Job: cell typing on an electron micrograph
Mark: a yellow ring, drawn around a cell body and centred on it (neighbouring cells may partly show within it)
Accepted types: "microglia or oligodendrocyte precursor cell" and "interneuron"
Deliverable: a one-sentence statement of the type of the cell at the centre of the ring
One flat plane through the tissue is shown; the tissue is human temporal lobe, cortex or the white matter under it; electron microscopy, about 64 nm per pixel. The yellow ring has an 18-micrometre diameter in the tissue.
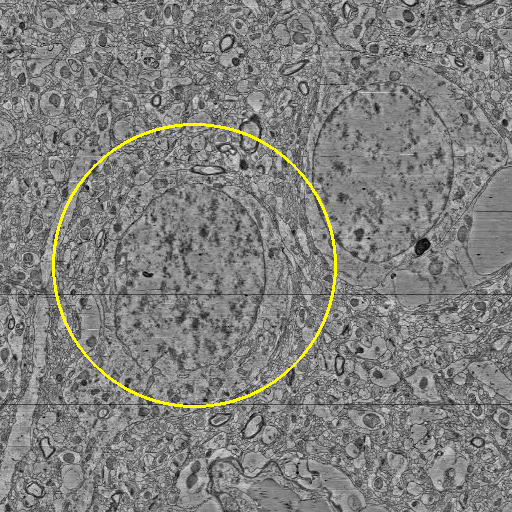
The centred cell body is that of an interneuron.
